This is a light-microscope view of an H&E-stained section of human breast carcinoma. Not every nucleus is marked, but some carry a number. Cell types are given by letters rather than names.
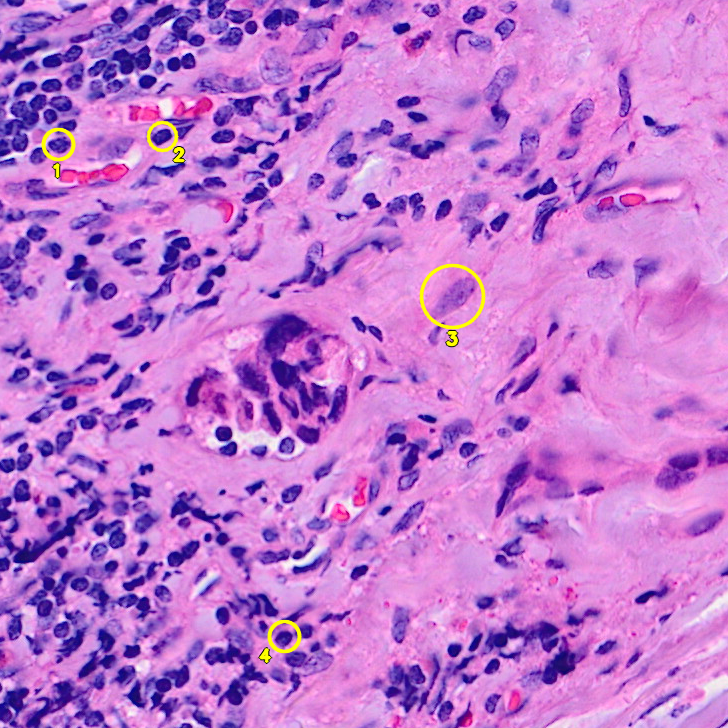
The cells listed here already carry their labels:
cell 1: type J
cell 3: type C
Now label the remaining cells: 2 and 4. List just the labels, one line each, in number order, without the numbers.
type J
type J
